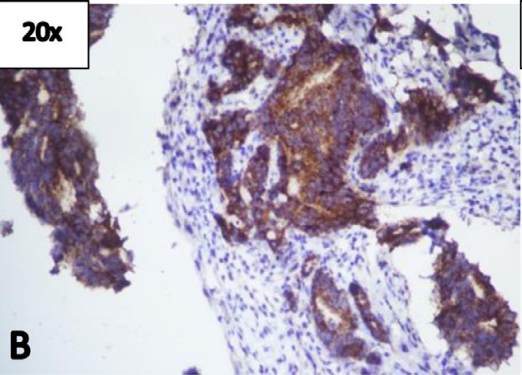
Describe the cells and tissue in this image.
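Here nests of tumor cells sit within a loose stroma, and the tumor cells carry a brown stain in their cytoplasm. Within the brown clusters the blue nuclei can still be made out. Some clusters enclose small gland-like spaces. The stroma between the nests is pale, with scattered small blue nuclei and no brown colour, which sets the tumor islands off sharply.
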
